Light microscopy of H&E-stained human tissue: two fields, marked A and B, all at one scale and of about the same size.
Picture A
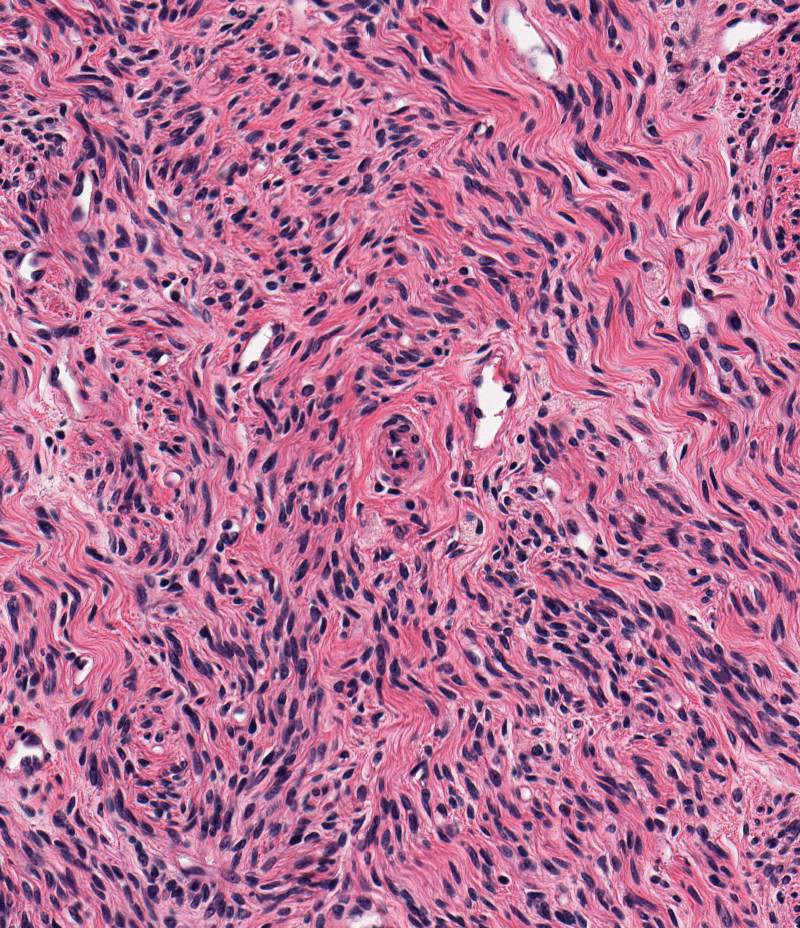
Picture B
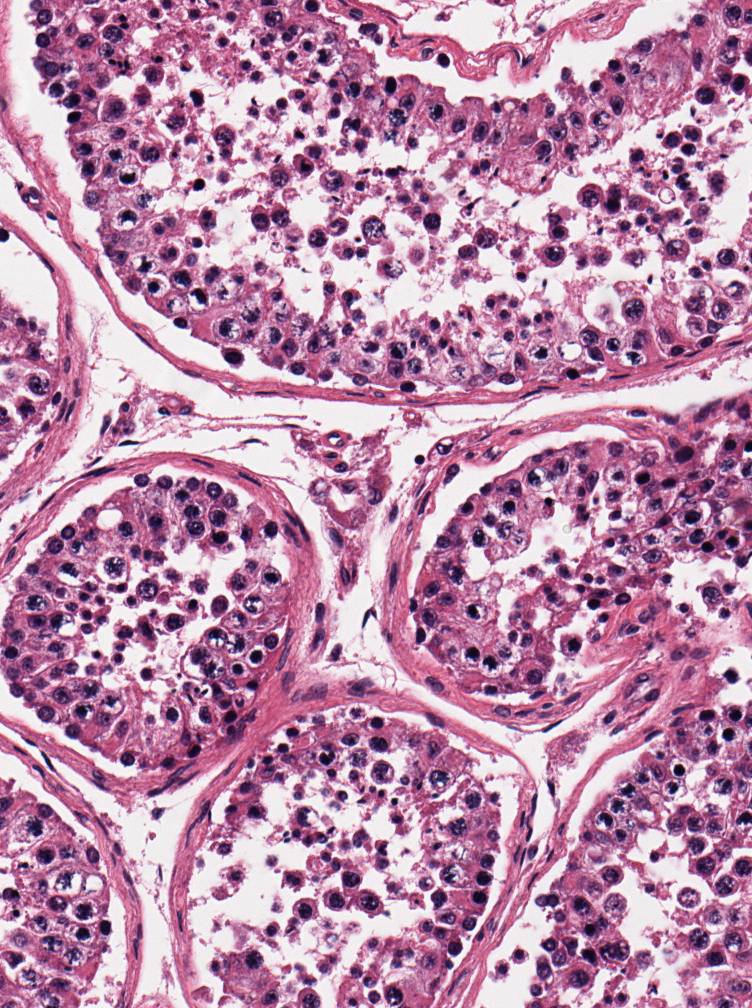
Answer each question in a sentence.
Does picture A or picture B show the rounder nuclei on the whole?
It is picture B whose nuclei are the rounder.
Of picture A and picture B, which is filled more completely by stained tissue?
Picture A has less white space.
